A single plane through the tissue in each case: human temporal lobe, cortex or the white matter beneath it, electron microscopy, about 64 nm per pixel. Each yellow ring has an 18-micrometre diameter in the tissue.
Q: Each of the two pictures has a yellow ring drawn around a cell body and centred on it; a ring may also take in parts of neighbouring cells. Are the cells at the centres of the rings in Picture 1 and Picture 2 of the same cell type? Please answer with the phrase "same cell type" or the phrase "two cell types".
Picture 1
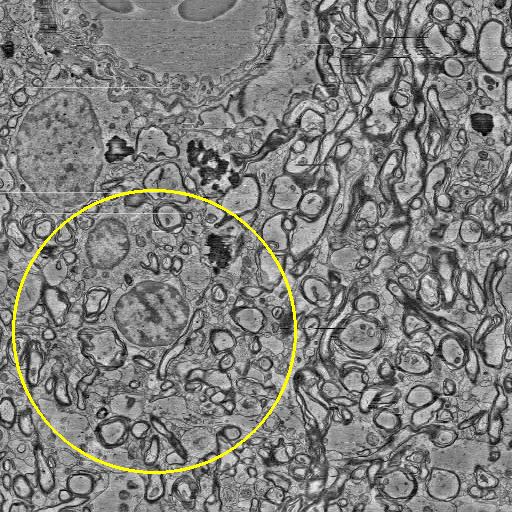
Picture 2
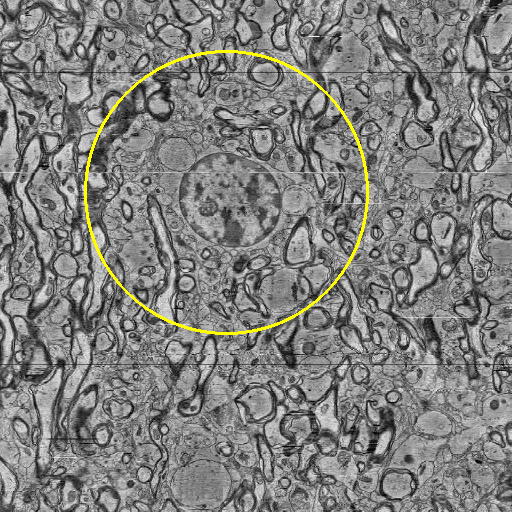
same cell type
